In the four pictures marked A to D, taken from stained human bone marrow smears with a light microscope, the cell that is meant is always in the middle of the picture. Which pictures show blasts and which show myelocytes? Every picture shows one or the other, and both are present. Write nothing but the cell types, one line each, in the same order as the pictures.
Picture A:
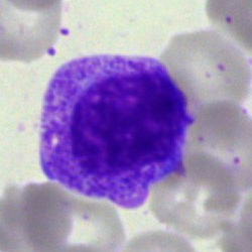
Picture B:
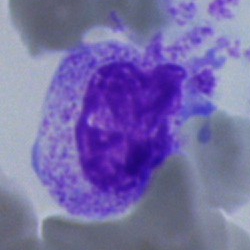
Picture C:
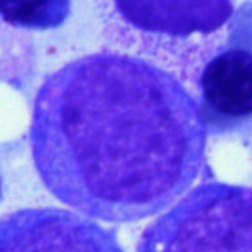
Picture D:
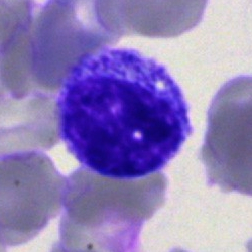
myelocyte
myelocyte
blast
myelocyte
